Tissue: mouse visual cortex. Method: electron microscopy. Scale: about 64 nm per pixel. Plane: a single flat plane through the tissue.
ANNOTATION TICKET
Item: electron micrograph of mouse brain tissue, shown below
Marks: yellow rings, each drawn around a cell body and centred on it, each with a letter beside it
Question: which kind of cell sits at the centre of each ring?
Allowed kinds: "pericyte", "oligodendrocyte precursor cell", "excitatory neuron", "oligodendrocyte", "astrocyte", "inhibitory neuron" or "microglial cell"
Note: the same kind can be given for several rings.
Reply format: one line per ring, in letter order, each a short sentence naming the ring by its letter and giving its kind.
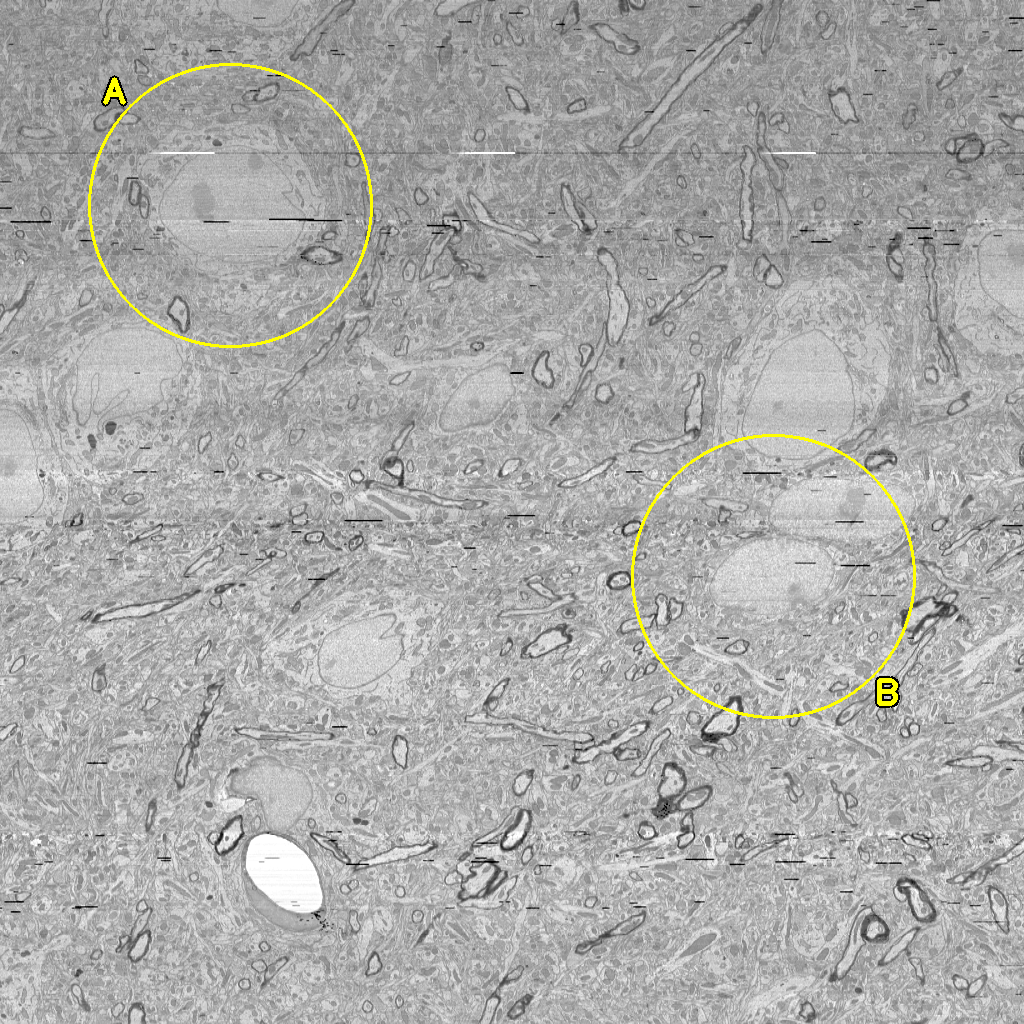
The cell at the centre of ring A is an excitatory neuron.
The cell at the centre of ring B is an astrocyte.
